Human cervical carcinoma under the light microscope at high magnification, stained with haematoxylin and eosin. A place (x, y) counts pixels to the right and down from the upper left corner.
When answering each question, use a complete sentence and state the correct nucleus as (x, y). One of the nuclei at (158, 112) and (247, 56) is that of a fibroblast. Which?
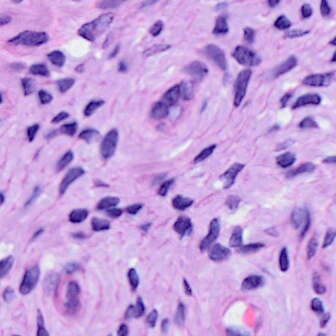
Of the two nuclei present, the one at (247, 56) is within a fibroblast.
